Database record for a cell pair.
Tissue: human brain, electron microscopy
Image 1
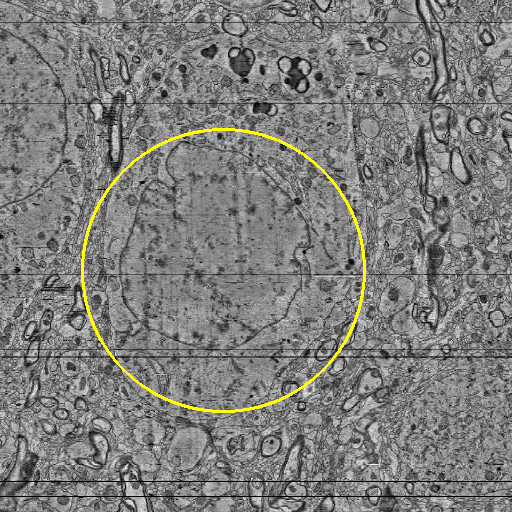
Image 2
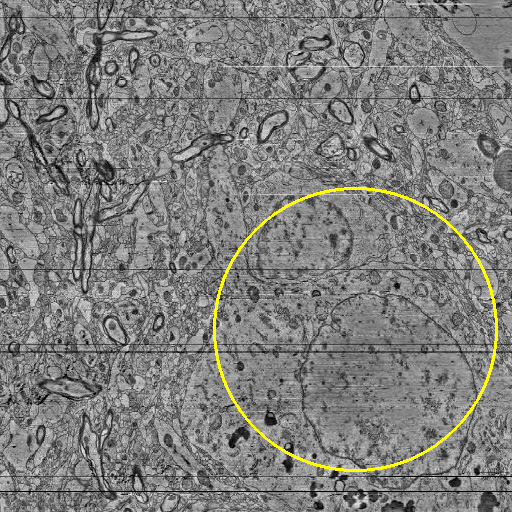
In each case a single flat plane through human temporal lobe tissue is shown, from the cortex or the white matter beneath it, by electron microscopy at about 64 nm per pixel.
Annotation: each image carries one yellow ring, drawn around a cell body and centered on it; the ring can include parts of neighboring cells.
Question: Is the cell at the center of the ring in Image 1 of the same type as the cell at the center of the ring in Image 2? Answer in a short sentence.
Yes, the cells are of the same type.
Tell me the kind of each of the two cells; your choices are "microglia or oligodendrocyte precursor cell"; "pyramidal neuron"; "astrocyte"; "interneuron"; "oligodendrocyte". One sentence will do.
In each picture the ringed cell is a pyramidal neuron.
